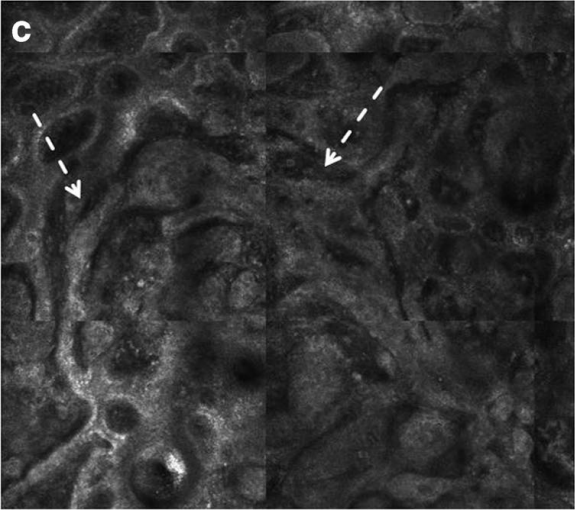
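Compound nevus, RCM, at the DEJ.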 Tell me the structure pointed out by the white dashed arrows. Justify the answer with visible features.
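Bright, thick, band-like structures run between round dark spaces. The bands join neighbouring rings to one another.
Hence: junctional thickenings.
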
